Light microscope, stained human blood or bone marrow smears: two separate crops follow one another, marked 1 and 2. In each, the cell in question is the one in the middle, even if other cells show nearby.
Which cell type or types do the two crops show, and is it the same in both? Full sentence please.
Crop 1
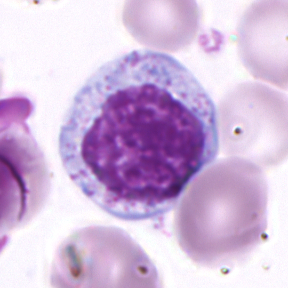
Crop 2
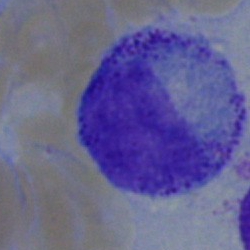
Yes, the same answer goes for both crops, namely myelocytes.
